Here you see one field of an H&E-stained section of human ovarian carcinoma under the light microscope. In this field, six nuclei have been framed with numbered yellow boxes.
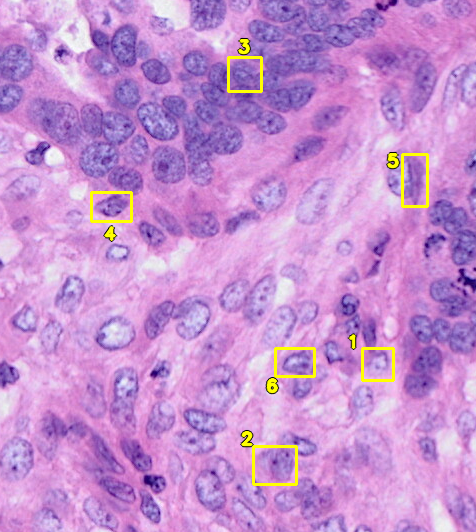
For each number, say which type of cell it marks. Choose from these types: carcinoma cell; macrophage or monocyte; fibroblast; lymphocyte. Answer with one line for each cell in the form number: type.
1: fibroblast
2: fibroblast
3: carcinoma cell
4: macrophage or monocyte
5: fibroblast
6: fibroblast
